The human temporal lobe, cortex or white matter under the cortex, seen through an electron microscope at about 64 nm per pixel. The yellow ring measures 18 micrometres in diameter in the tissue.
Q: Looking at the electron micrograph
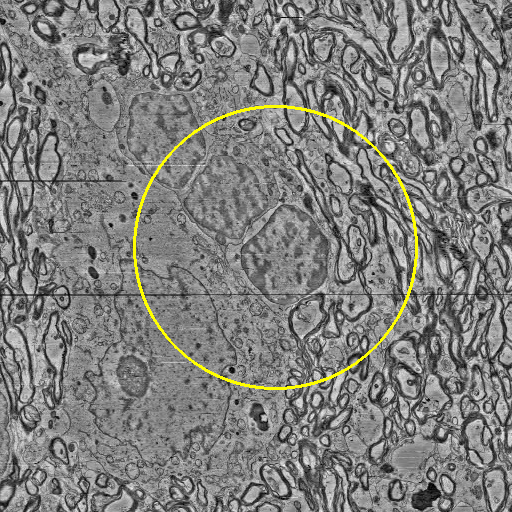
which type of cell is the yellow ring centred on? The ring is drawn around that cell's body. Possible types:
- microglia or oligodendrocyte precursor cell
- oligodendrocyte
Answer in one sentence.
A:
The yellow ring is centred on a microglial cell or oligodendrocyte precursor cell.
